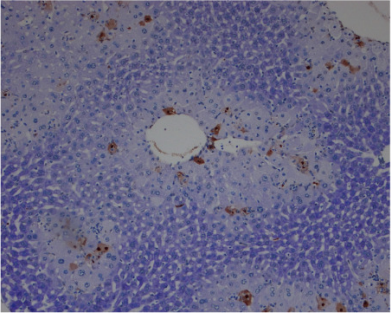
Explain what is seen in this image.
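This is liver tissue made of blue-counterstained hepatocytes arranged in plates around an open central vein. The hepatocytes around the vein keep their polygonal shape, round nuclei and pale cytoplasm, with no broad brown zone. Only a few small isolated brown spots are scattered through the tissue, some next to the vein wall. The lobular architecture looks largely intact.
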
